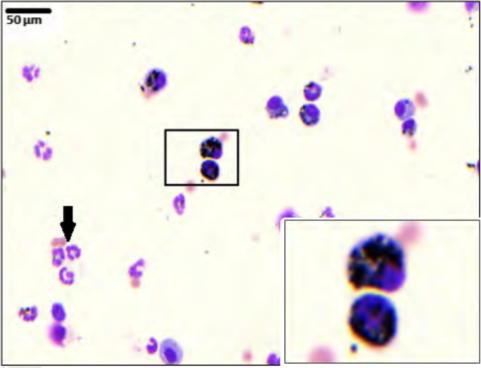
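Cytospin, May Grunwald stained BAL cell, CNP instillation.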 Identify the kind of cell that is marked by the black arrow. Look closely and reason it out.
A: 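The marked cells are small with segmented, ring-like or lobed nuclei. Their cytoplasm is pale pink. So: neutrophilic granulocytes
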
